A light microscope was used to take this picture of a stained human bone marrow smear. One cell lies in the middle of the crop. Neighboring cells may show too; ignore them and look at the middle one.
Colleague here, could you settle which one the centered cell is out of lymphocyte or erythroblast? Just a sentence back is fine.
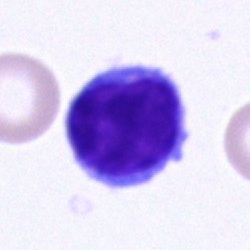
The cell in the middle of this crop is a lymphocyte.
